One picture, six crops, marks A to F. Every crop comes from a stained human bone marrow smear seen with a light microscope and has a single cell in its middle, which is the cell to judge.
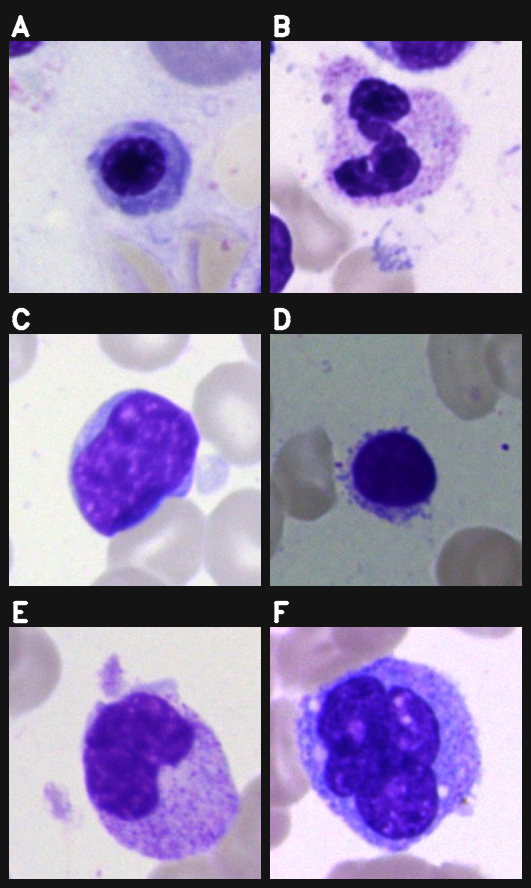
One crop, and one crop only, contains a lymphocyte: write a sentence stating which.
It is crop D, not any other, that shows a lymphocyte.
